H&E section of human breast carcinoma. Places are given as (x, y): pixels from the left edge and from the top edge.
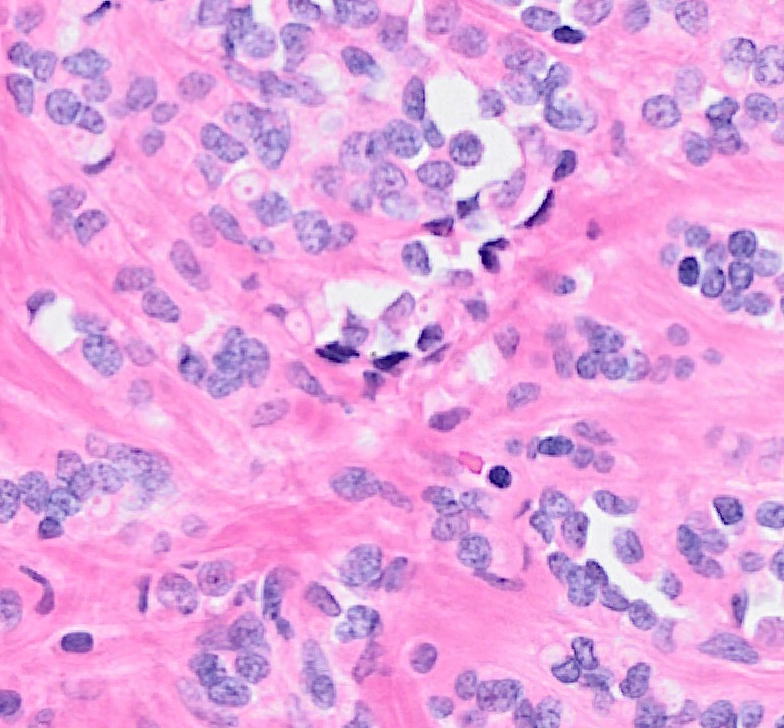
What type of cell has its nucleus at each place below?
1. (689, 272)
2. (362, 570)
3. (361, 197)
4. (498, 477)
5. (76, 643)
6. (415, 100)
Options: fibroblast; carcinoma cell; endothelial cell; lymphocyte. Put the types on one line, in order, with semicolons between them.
lymphocyte; carcinoma cell; carcinoma cell; lymphocyte; lymphocyte; carcinoma cell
